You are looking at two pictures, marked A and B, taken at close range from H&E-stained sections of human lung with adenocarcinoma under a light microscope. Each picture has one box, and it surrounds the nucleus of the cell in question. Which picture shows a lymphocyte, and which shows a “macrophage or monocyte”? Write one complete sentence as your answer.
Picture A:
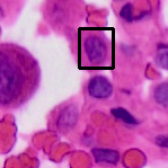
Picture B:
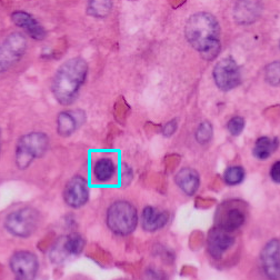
In picture A the cell is a “macrophage or monocyte”; in picture B, a lymphocyte.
